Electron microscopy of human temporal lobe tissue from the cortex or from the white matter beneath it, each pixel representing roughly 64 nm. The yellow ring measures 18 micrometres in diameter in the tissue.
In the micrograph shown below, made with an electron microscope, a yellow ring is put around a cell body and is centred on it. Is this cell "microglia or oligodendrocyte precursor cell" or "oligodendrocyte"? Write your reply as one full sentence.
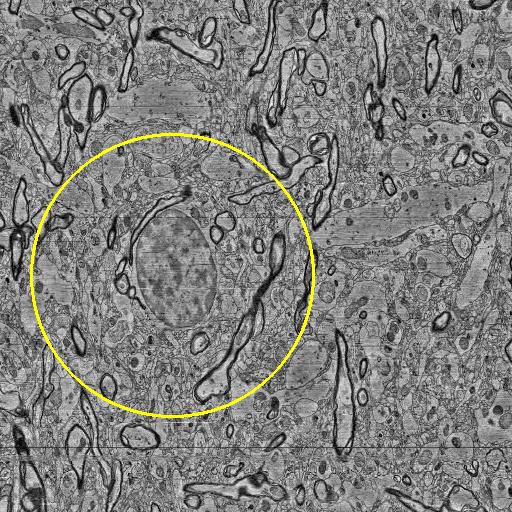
In the micrograph, an oligodendrocyte is the cell at the centre of the yellow ring.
